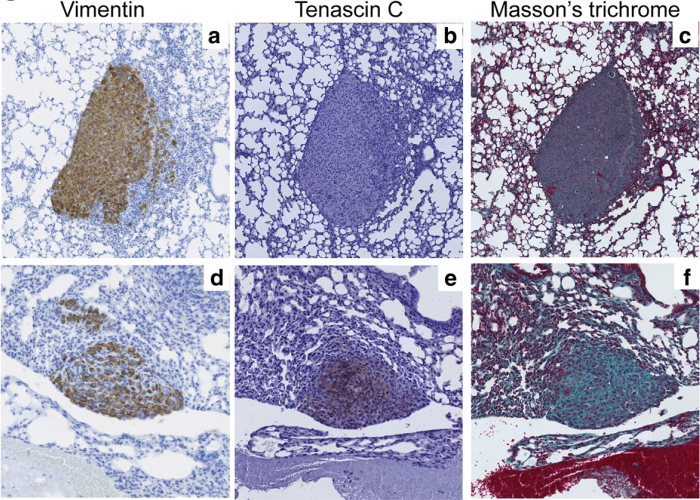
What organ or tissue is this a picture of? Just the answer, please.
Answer: Lungs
